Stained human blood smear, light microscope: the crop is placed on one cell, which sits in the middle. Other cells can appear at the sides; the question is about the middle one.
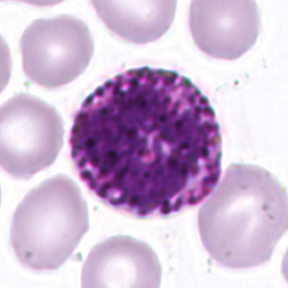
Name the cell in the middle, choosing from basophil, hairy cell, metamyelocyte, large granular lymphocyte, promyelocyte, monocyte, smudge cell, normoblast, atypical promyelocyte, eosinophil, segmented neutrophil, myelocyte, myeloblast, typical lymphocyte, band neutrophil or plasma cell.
basophil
